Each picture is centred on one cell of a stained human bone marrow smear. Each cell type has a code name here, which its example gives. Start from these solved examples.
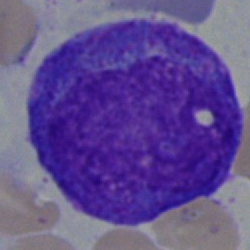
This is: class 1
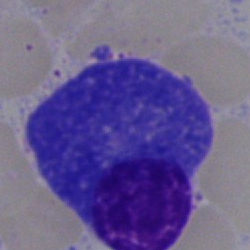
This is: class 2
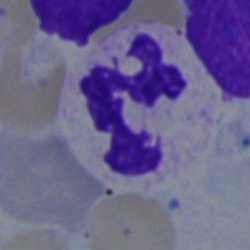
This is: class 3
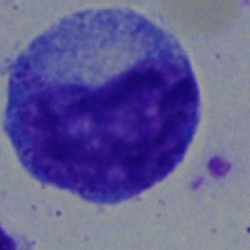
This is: class 1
